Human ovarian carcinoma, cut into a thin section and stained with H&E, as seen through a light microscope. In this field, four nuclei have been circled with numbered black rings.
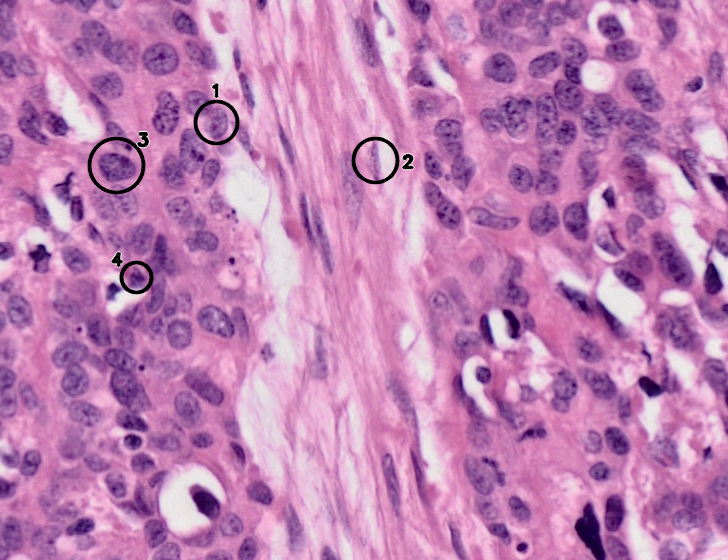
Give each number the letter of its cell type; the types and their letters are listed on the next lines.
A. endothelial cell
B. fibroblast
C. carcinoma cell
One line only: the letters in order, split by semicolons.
C; B; C; C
